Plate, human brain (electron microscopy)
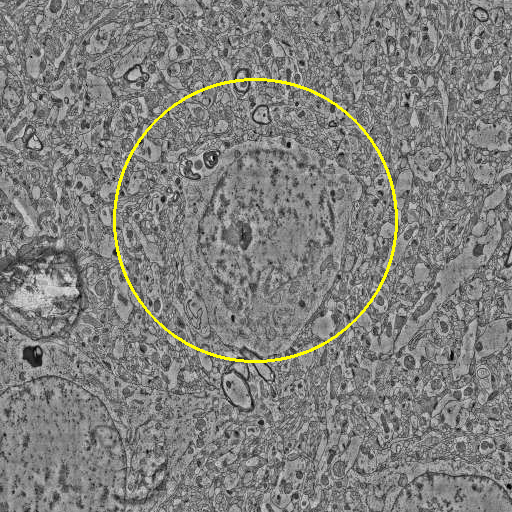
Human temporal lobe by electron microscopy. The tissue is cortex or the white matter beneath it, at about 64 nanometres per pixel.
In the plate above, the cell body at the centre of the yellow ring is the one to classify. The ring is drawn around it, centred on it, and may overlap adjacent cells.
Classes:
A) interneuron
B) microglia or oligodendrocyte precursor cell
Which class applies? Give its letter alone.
A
